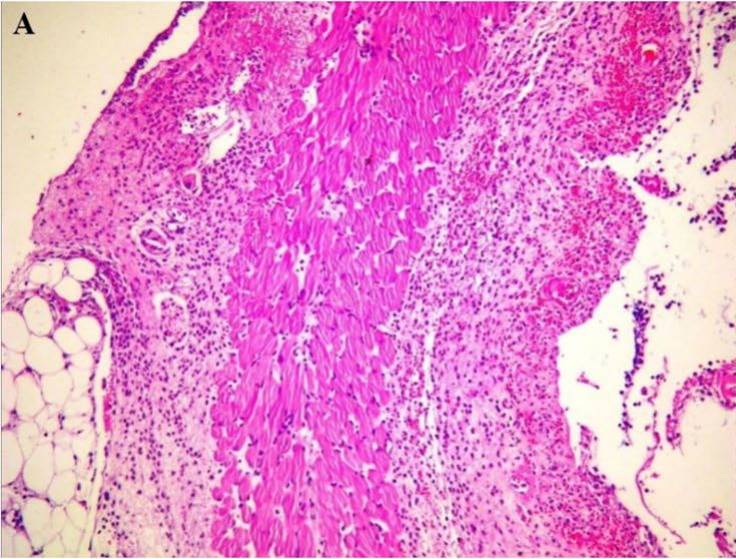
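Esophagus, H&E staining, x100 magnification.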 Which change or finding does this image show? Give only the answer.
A: Infiltration of inflammatory cells.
